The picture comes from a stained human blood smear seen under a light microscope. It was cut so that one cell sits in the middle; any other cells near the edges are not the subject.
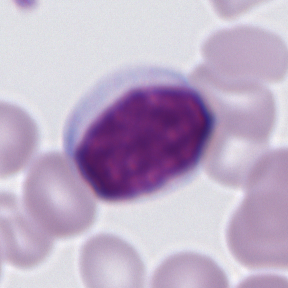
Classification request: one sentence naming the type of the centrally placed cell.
Classification of the middle cell gives a large granular lymphocyte.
